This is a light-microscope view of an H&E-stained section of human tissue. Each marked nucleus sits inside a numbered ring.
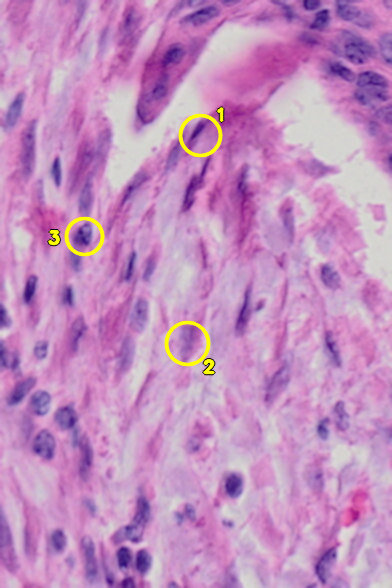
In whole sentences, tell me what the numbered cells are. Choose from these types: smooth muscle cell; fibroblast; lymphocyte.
Cells 1 and 2 are fibroblasts. Cell 3 is a lymphocyte.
